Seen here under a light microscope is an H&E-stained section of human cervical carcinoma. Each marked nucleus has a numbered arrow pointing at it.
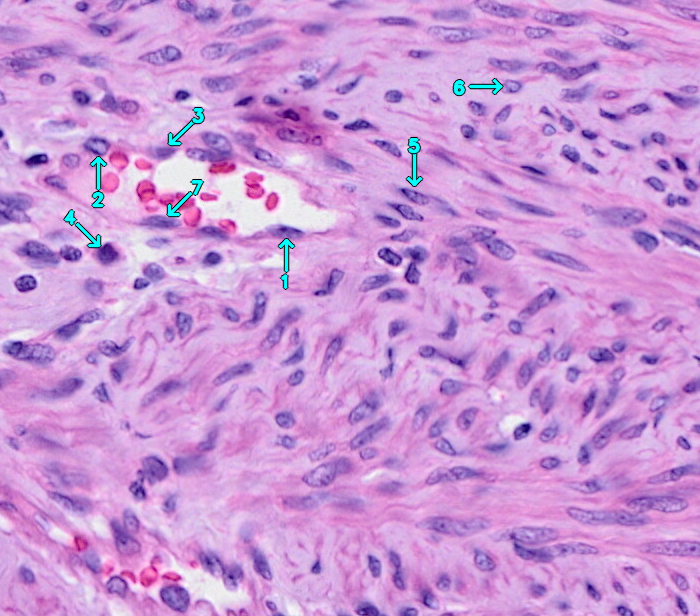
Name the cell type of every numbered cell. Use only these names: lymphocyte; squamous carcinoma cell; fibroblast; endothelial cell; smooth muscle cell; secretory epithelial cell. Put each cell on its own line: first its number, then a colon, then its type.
1: endothelial cell
2: endothelial cell
3: endothelial cell
4: lymphocyte
5: fibroblast
6: smooth muscle cell
7: endothelial cell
